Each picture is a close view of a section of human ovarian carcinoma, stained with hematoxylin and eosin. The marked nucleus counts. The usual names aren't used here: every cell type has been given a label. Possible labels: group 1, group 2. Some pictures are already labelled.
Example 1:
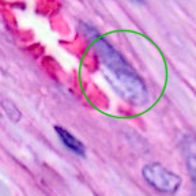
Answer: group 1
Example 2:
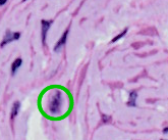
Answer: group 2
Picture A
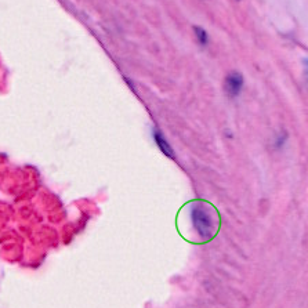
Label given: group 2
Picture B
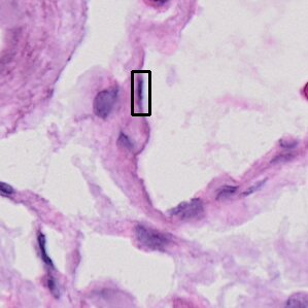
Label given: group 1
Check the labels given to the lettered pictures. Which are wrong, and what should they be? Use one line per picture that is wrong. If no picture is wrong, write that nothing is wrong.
A: change group 2 to group 1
